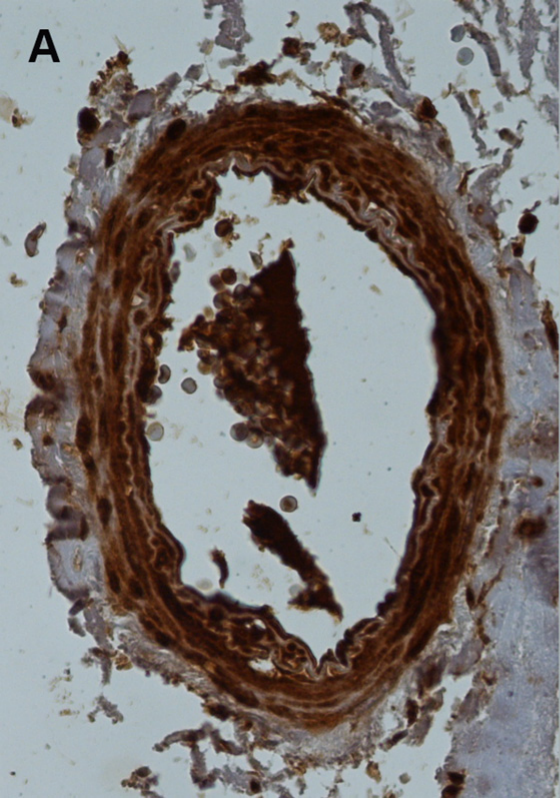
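The wall is made of many wavy, concentric layers, and almost all of it is stained a deep brown, so that the nuclei within it are hard to separate from the surrounding tissue. The brown extends to the inner lining facing the lumen. Outside the brown ring lies a paler, looser, greyish outer coat with scattered fibres. Inside the lumen are clumps of brown material and a few round red blood cells. The strongly stained band corresponds to the muscular middle layer of the artery and its lining.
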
